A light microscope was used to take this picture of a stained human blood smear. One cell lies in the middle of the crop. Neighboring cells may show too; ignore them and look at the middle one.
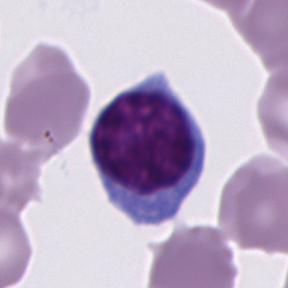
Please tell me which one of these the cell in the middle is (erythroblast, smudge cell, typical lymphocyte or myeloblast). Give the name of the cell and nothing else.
typical lymphocyte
